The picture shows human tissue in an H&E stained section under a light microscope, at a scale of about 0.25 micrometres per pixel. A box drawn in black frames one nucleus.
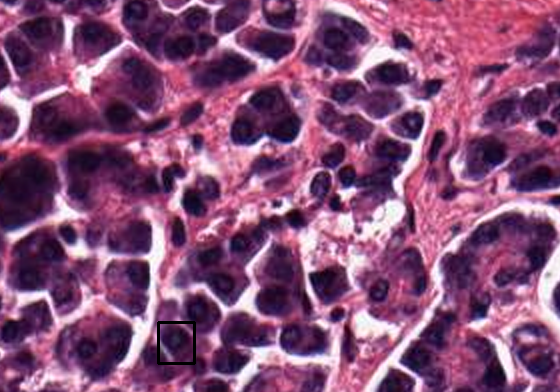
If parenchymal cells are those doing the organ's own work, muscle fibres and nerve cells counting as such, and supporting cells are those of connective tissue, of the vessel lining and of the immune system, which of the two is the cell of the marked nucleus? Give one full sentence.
On this slide the marked nucleus belongs to a parenchymal cell, namely a pancreatic acinar cell.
